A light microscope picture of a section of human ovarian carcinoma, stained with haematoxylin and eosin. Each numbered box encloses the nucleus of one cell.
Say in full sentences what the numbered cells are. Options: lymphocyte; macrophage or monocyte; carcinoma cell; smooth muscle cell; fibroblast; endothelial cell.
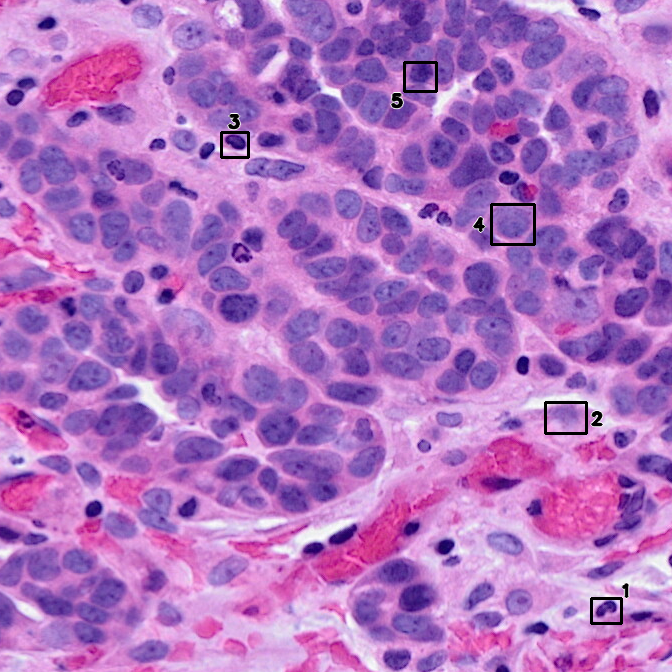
Cells 1 and 3 are lymphocytes. Cell 2 is a fibroblast. Cells 4 and 5 are carcinoma cells.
